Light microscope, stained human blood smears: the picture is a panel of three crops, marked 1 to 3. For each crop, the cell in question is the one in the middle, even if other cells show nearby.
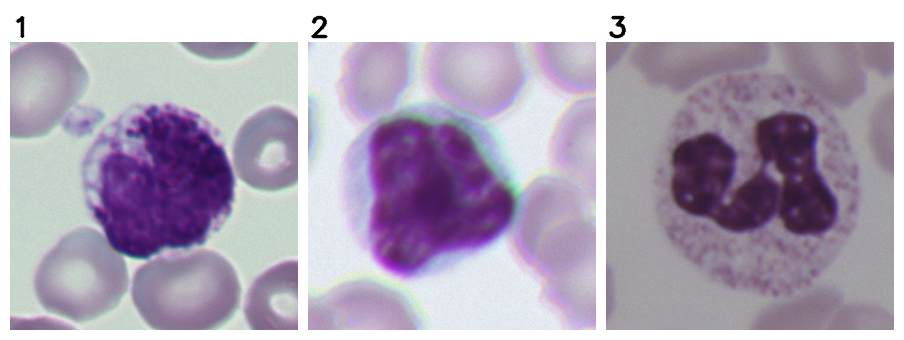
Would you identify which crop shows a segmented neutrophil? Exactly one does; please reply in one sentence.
Crop 3 alone, of all the crops, shows a segmented neutrophil.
